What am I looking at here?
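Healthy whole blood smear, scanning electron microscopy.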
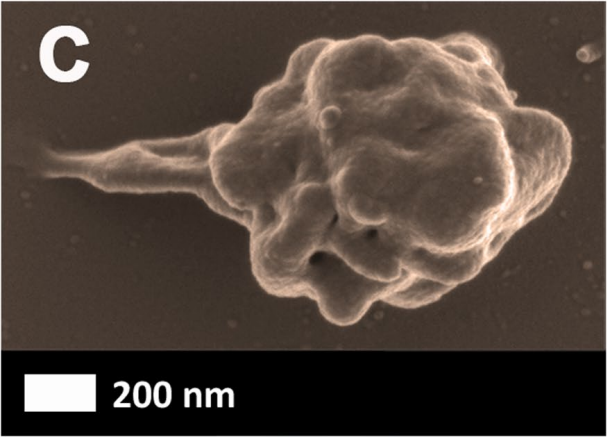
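A single platelet lies on a flat surface as a small, irregular body. Its surface is lumpy and lobed with a few small pits, and a long thin tapering extension stretches away from one side.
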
